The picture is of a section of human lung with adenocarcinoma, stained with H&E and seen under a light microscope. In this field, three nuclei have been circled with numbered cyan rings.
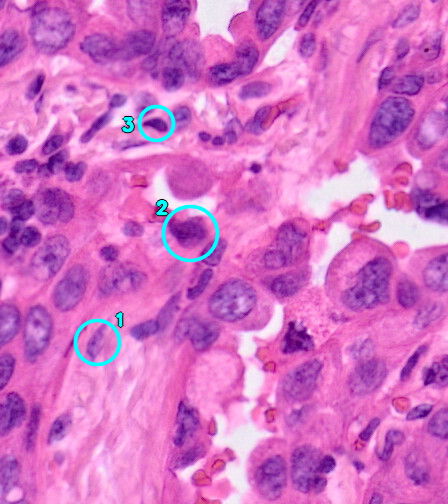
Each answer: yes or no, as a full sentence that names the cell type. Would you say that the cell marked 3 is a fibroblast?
No, instead of a fibroblast, the cell with number 3 is a lymphocyte.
